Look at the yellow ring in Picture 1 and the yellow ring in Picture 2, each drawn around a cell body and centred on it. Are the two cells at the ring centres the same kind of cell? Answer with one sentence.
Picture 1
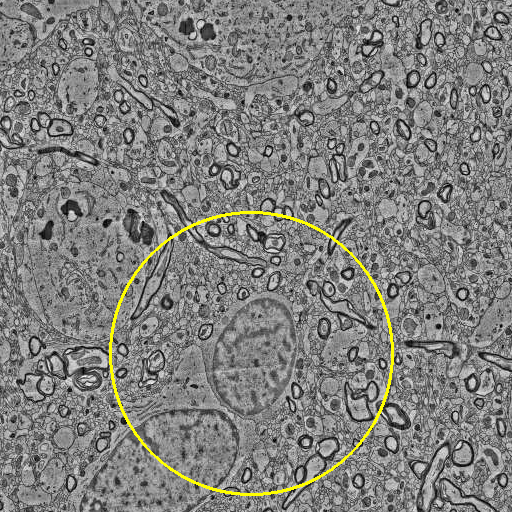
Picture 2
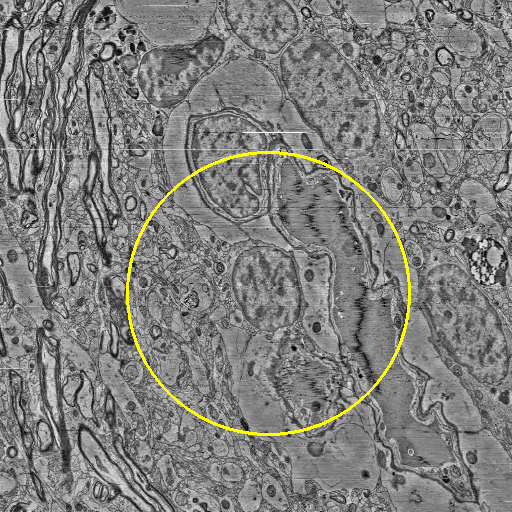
Yes, both are the same kind of cell.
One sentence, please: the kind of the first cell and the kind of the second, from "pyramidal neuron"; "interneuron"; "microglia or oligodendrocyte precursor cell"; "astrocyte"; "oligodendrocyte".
The first and the second cell are each an oligodendrocyte.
